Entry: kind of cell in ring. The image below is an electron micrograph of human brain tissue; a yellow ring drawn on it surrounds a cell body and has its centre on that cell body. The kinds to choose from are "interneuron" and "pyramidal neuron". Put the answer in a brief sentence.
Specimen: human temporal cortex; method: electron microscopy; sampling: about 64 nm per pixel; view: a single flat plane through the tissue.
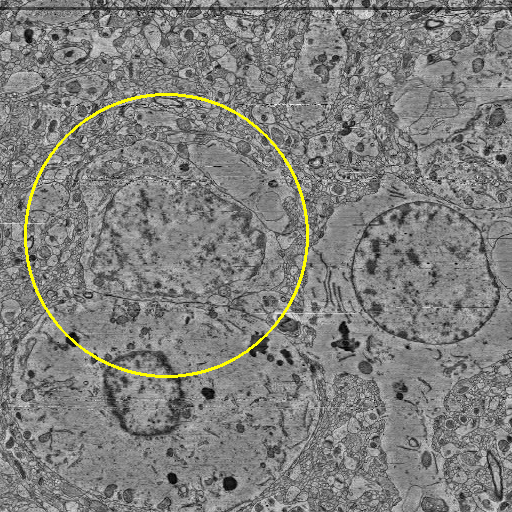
The ring has been drawn around an interneuron.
